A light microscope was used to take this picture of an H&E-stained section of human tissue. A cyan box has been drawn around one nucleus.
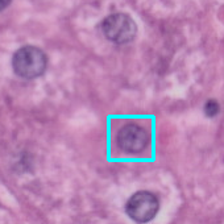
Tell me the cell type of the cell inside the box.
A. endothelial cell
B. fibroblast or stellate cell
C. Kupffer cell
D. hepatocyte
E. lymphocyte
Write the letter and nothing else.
D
